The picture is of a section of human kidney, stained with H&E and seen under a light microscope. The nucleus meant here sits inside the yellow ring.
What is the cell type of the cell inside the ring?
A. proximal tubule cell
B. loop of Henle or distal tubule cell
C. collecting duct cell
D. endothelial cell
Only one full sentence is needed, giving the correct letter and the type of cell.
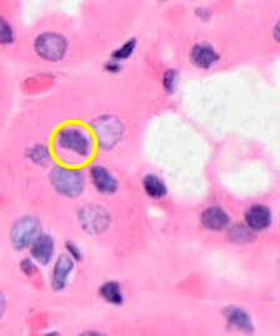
The correct choice is option B; the cell inside the ring is a loop of Henle or distal tubule cell.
